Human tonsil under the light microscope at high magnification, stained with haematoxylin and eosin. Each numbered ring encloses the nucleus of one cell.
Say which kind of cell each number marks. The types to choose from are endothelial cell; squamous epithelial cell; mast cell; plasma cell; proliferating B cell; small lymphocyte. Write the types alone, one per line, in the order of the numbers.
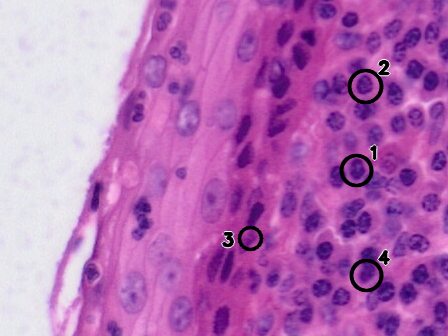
plasma cell
plasma cell
squamous epithelial cell
plasma cell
